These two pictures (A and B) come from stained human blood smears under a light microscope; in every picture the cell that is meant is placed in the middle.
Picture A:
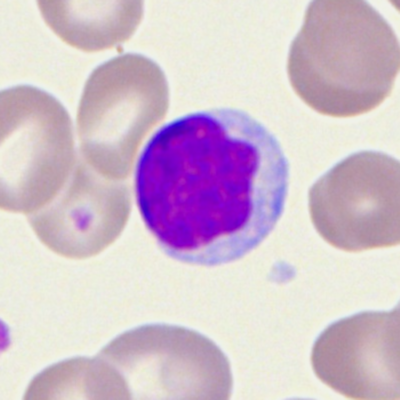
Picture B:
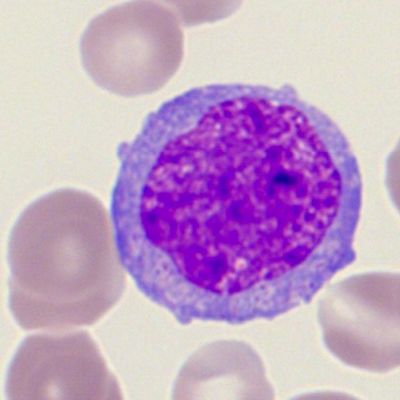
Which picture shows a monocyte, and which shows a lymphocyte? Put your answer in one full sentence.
The cell in picture A is a lymphocyte, and the one in picture B is a monocyte.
